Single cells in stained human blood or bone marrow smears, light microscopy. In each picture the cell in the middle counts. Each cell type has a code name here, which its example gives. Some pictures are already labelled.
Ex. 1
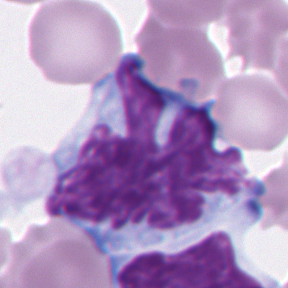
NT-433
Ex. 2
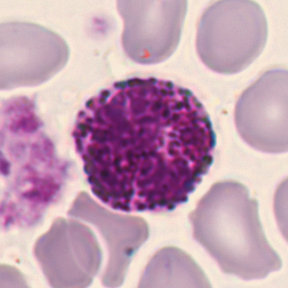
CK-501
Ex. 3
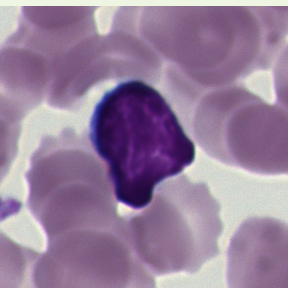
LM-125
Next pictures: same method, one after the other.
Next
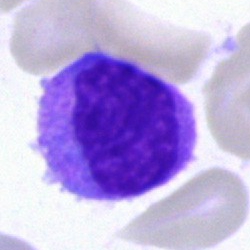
NT-433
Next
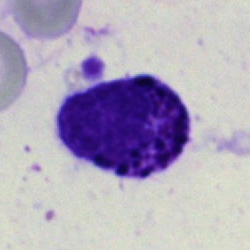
CK-501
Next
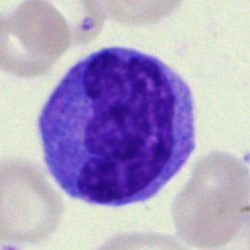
NT-433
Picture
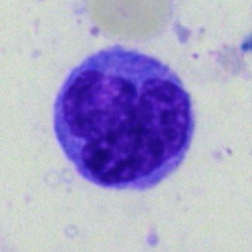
NT-433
